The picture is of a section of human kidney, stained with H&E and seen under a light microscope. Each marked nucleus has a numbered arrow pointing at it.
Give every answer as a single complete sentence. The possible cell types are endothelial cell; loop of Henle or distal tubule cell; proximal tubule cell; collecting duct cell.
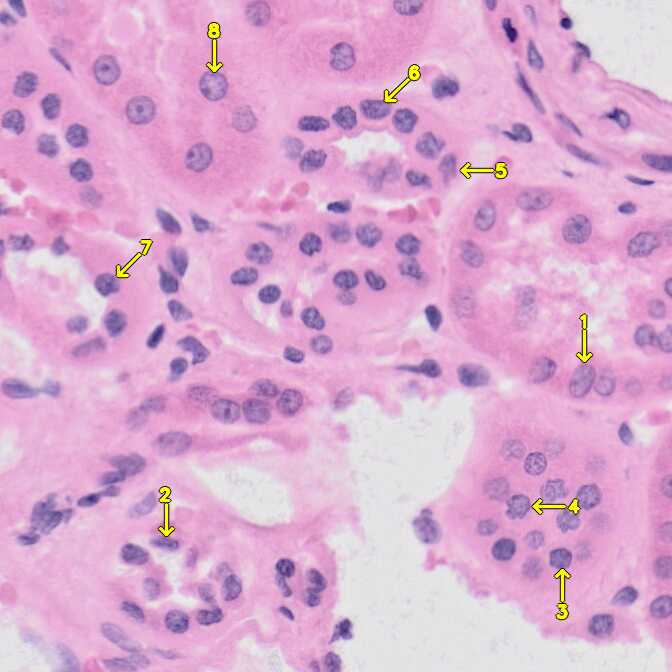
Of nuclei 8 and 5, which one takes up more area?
Nucleus 8 is larger, with an area about 1.5 times that of nucleus 5.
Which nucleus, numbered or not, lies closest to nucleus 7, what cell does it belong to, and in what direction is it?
The nearest nucleus is that of a loop of Henle or distal tubule cell and lies below nucleus 7.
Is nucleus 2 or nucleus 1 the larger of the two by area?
At about 1.5 times the area of nucleus 2, nucleus 1 is the larger of the two.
